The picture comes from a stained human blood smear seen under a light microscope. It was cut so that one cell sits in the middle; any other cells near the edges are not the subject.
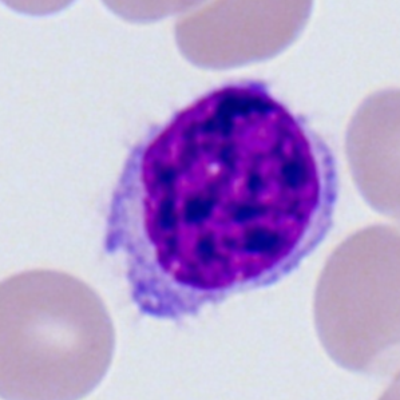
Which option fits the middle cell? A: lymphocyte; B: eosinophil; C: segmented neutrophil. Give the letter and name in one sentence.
Option A is correct in naming the middle cell a lymphocyte.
